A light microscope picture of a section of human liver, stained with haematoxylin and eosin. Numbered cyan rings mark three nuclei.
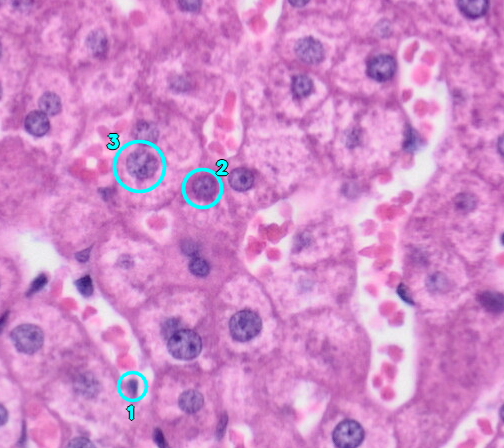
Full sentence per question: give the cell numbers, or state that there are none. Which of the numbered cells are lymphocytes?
Only at number 1 is there a lymphocyte.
